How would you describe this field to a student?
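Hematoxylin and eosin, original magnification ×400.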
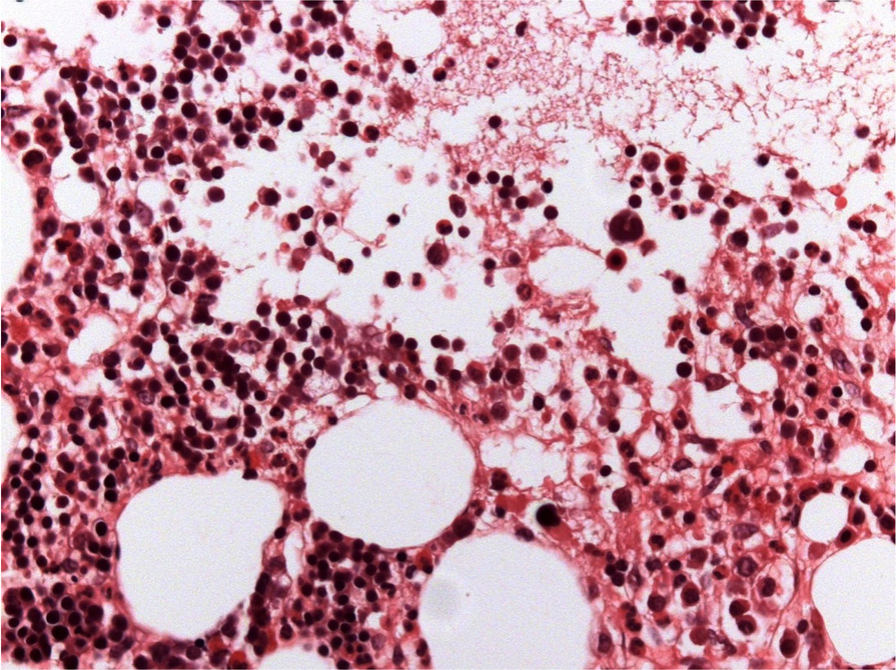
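Densely cellular tissue lies among large, round, empty fat spaces. It is crowded with many small round cells, most with dark, compact nuclei, and clusters of them lie packed together at the lower left. Among them are larger cells with paler nuclei and pink cytoplasm, a few much larger cells, and a loose pink fibrillar area at the top. This is a mixed population of blood-forming cells of several series, as in marrow, lying in a fatty stroma.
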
